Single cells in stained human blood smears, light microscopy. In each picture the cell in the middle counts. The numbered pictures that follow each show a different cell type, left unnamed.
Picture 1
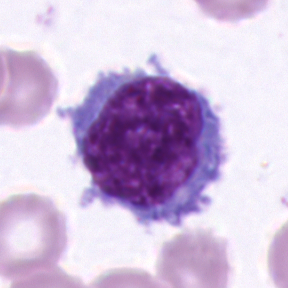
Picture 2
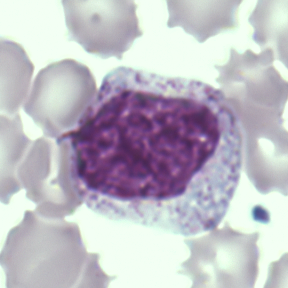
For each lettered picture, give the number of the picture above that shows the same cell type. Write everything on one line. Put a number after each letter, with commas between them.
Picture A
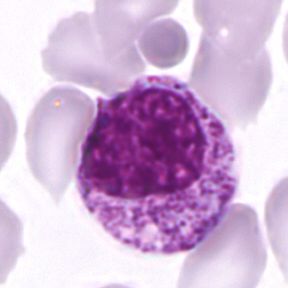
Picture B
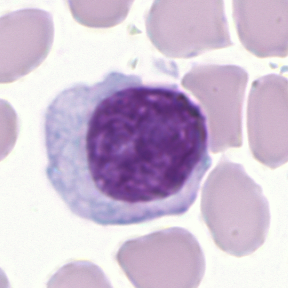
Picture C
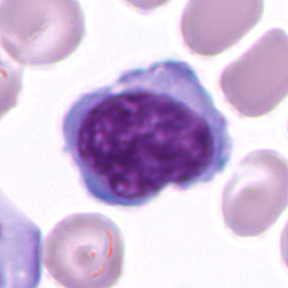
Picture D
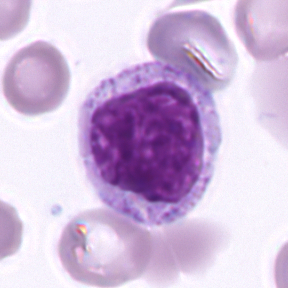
A 2, B 1, C 1, D 2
